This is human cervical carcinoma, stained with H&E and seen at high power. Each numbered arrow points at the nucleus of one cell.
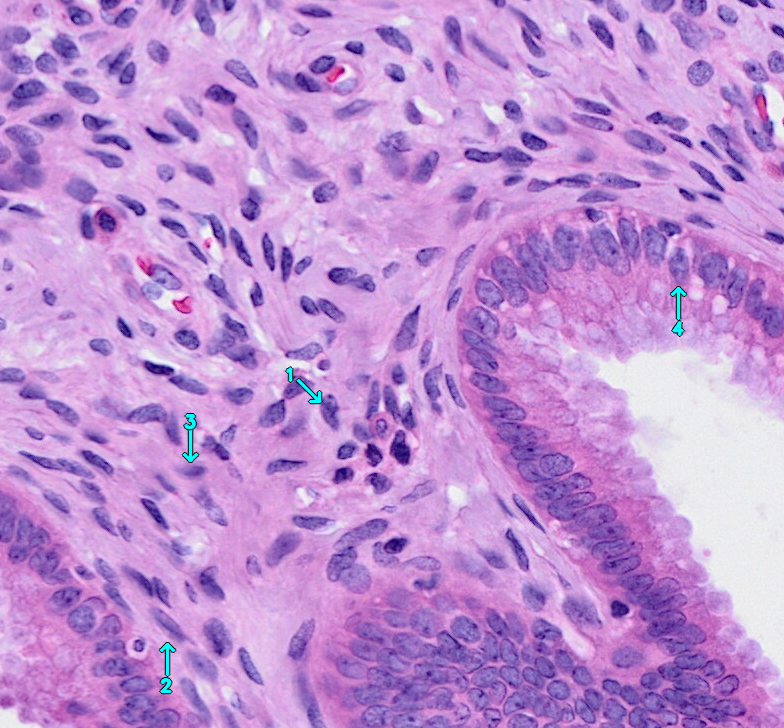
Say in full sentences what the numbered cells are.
Cells 1, 2 and 3 are fibroblasts. Cell 4 is a secretory epithelial cell.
